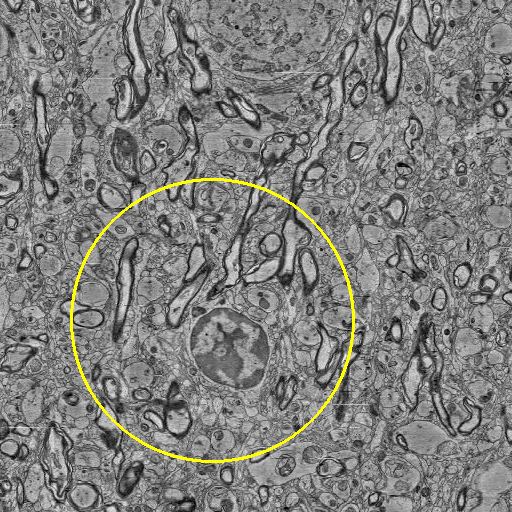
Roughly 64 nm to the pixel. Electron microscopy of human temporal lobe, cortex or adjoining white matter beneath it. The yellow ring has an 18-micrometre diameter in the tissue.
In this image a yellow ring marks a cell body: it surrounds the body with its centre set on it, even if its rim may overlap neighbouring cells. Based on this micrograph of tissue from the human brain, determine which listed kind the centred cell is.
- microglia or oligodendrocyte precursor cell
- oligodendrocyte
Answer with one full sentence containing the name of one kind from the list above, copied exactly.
It is a microglial cell or oligodendrocyte precursor cell whose body the yellow ring encloses at its centre.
